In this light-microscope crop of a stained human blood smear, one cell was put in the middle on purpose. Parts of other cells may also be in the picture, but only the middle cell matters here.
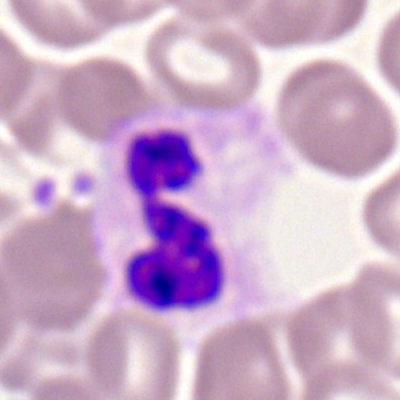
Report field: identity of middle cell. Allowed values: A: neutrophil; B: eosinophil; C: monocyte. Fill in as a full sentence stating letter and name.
Here the central cell is a neutrophil, and option A is correct.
